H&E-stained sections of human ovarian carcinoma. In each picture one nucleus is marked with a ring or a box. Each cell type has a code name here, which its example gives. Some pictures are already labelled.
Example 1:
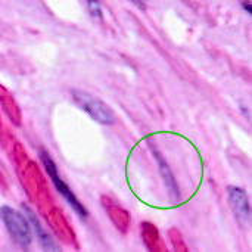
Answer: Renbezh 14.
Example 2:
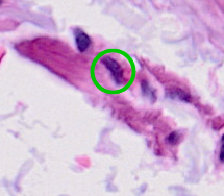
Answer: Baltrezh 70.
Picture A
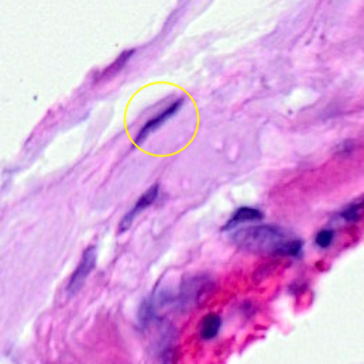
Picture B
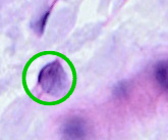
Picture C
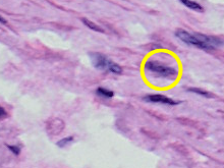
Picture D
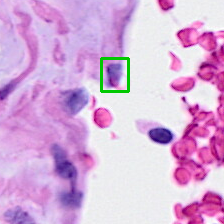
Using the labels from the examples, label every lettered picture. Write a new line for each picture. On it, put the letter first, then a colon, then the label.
A: Renbezh 14.
B: Renbezh 14.
C: Renbezh 14.
D: Baltrezh 70.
